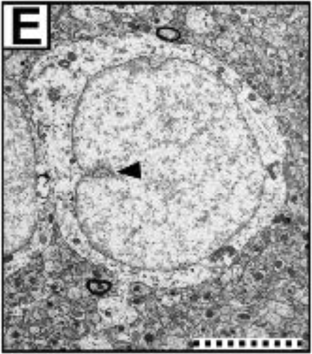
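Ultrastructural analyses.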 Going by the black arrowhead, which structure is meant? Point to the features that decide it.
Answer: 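A thin double-membrane fold runs from the nuclear rim inward into the nucleus. The fold ends inside the nucleoplasm. On this evidence: nuclear invaginations.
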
